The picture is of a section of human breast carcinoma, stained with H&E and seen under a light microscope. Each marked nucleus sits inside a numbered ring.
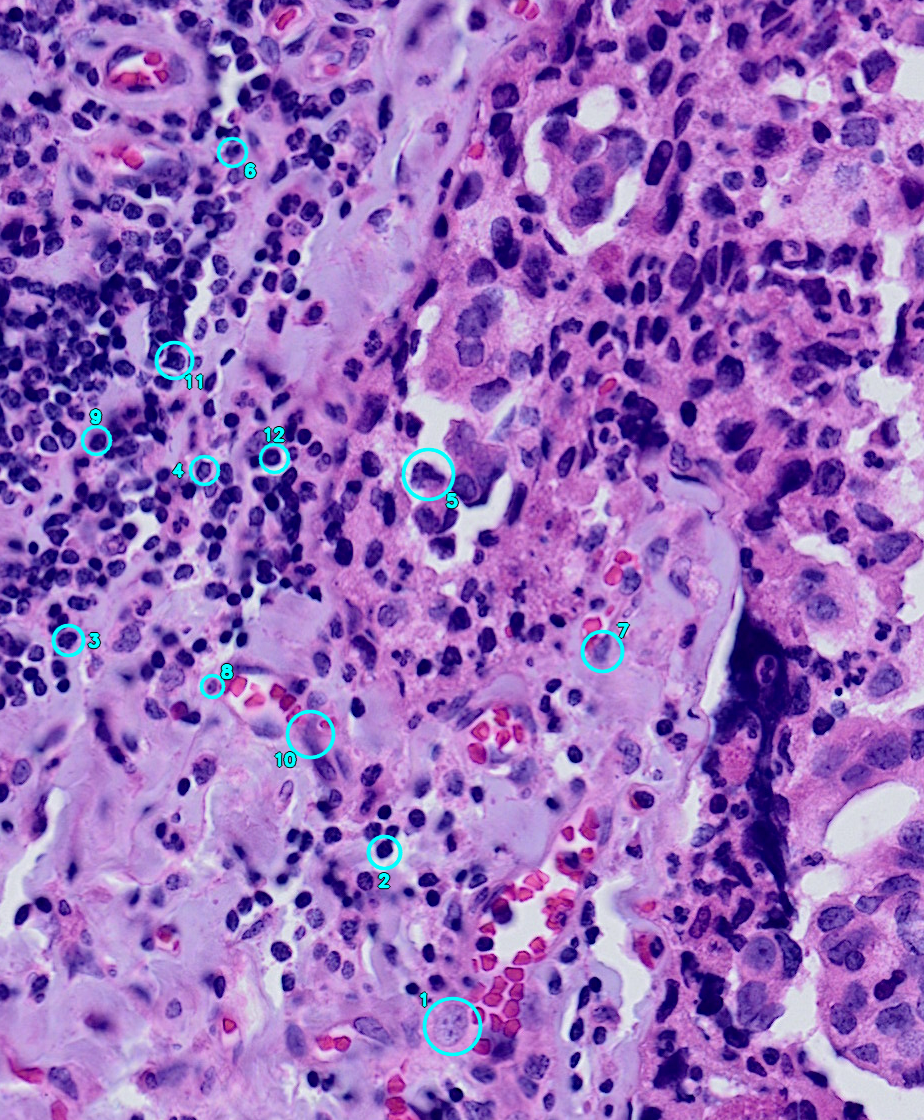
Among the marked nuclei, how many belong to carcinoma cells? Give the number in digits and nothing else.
1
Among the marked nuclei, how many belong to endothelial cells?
4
